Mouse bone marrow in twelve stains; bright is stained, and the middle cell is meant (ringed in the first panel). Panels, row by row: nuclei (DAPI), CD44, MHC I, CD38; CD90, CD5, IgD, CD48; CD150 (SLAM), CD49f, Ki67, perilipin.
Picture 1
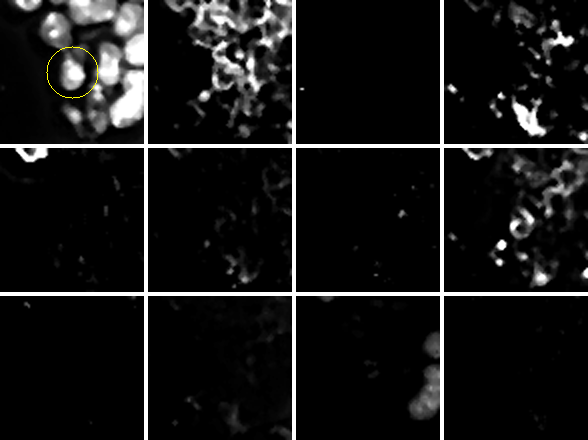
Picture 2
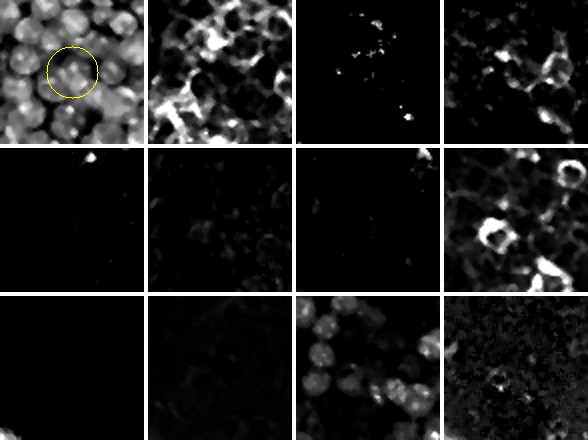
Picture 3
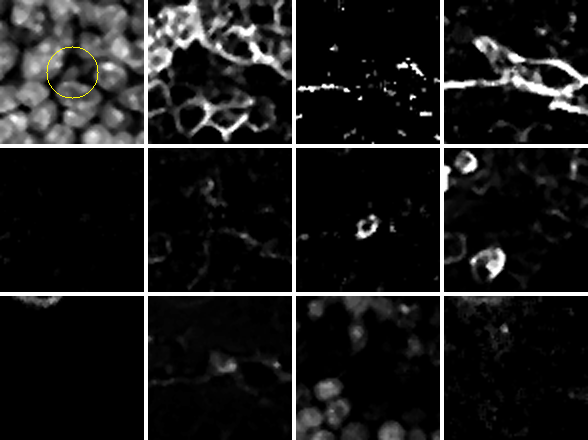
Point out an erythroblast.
That is picture 2.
